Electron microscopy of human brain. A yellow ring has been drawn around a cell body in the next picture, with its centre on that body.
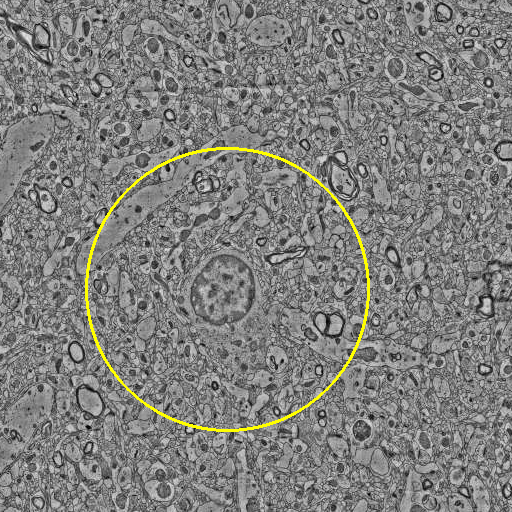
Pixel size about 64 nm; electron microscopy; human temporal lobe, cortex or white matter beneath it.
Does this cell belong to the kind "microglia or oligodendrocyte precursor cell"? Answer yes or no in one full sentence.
No, the ringed cell in this picture, sitting at the ring's centre, is of another kind.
